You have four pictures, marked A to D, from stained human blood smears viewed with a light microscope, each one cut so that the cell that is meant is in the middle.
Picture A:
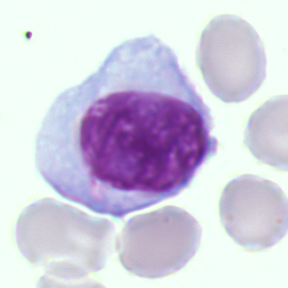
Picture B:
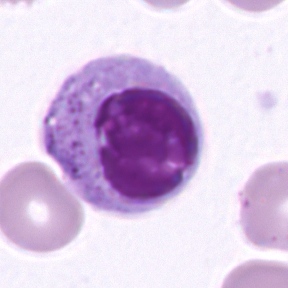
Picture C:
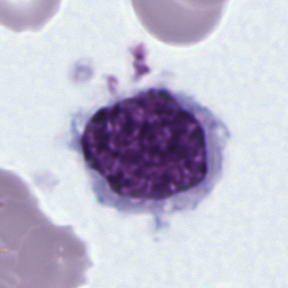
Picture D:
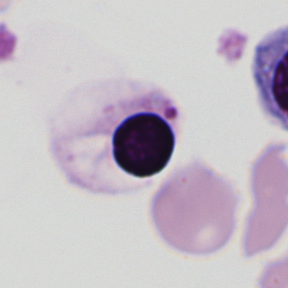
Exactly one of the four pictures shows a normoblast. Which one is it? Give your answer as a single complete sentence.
The picture with the normoblast is D.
